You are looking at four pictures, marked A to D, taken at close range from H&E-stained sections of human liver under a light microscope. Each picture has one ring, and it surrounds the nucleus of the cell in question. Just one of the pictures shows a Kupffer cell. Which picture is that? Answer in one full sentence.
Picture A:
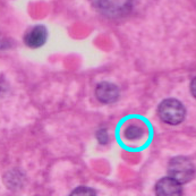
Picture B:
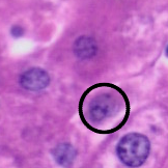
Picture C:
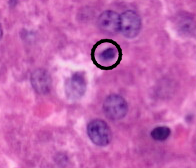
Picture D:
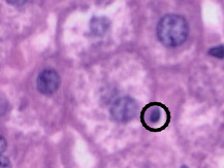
Picture B shows the Kupffer cell.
